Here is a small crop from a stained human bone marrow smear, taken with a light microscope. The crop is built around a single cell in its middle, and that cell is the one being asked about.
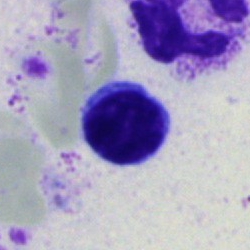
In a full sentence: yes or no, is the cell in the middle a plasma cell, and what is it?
No, the centre cell counts as a lymphocyte, not as a plasma cell.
